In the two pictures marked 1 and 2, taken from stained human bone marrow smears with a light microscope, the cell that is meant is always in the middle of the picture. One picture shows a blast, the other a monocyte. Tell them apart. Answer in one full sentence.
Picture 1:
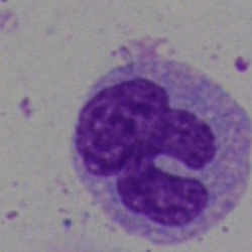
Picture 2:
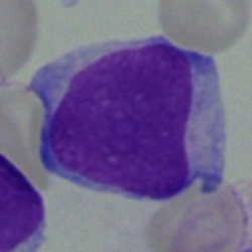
Picture 1 shows a monocyte and picture 2 shows a blast.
